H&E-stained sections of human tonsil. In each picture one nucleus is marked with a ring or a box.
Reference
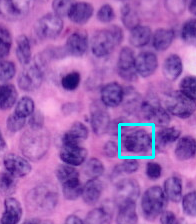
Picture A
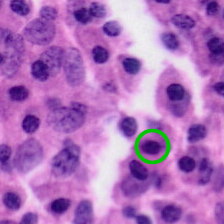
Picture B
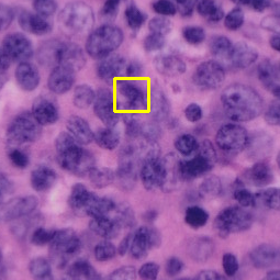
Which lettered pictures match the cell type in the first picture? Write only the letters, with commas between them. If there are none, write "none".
B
